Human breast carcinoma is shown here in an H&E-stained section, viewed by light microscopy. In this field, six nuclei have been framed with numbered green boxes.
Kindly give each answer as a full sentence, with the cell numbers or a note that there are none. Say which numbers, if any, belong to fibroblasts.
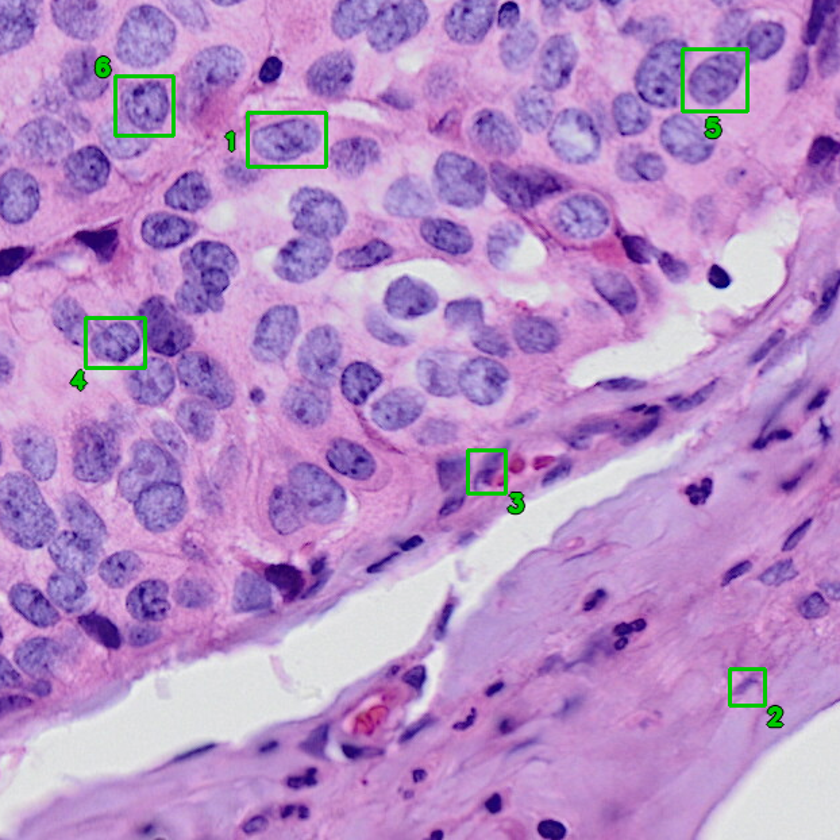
In this set of numbered cells, only cell 2 is a fibroblast.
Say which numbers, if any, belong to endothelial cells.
Nothing but cell 3 is an endothelial cell among the numbered ones.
